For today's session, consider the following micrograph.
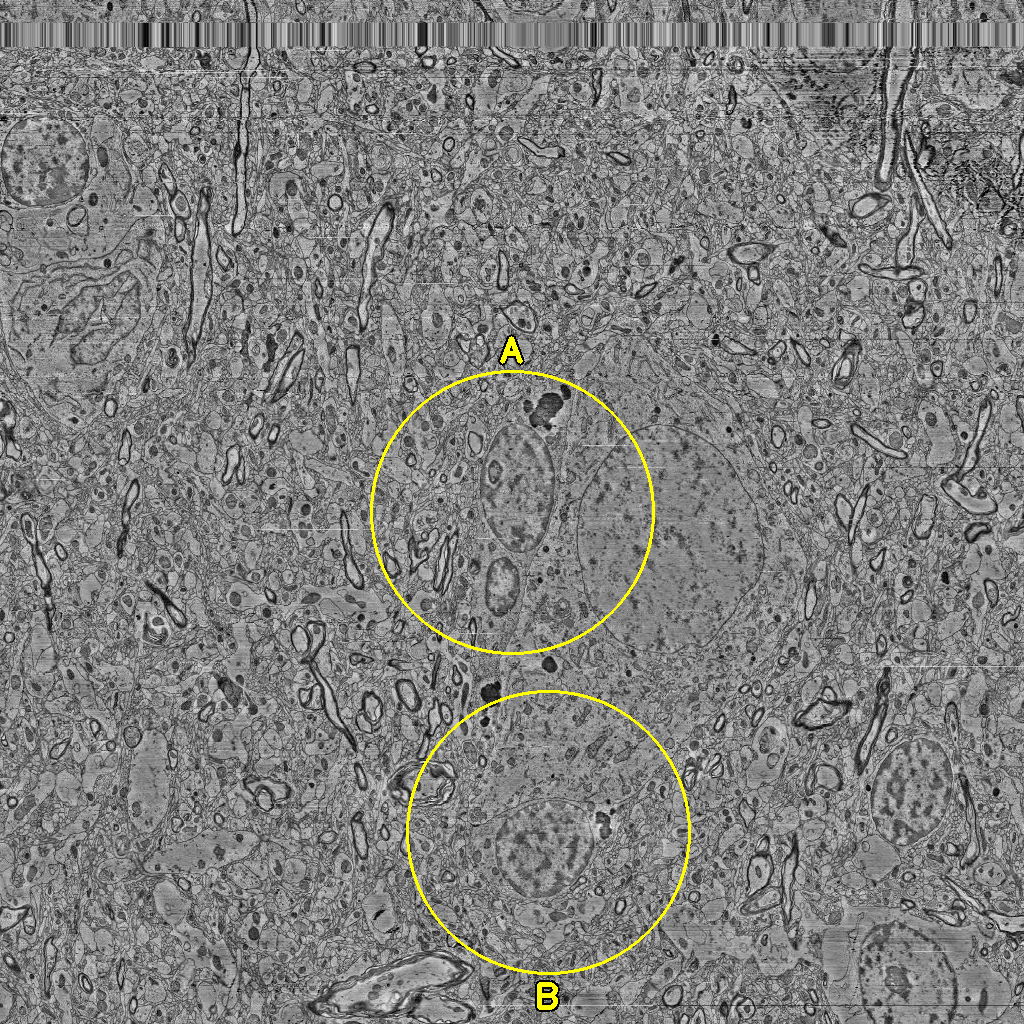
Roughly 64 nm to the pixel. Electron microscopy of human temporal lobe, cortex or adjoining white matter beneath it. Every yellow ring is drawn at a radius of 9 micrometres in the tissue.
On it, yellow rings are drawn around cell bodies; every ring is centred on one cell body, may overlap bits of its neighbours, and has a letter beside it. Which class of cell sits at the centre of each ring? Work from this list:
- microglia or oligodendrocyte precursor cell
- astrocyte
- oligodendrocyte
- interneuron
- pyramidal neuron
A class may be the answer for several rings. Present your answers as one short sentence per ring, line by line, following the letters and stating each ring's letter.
Ring A centres on an oligodendrocyte.
Ring B centres on an oligodendrocyte.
